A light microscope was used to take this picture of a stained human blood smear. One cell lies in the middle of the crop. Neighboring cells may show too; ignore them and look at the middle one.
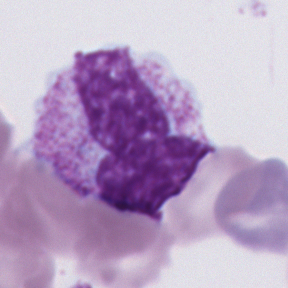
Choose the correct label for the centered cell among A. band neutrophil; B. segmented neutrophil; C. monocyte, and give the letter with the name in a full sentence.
Option A is correct here, and the cell in the middle is a band neutrophil.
